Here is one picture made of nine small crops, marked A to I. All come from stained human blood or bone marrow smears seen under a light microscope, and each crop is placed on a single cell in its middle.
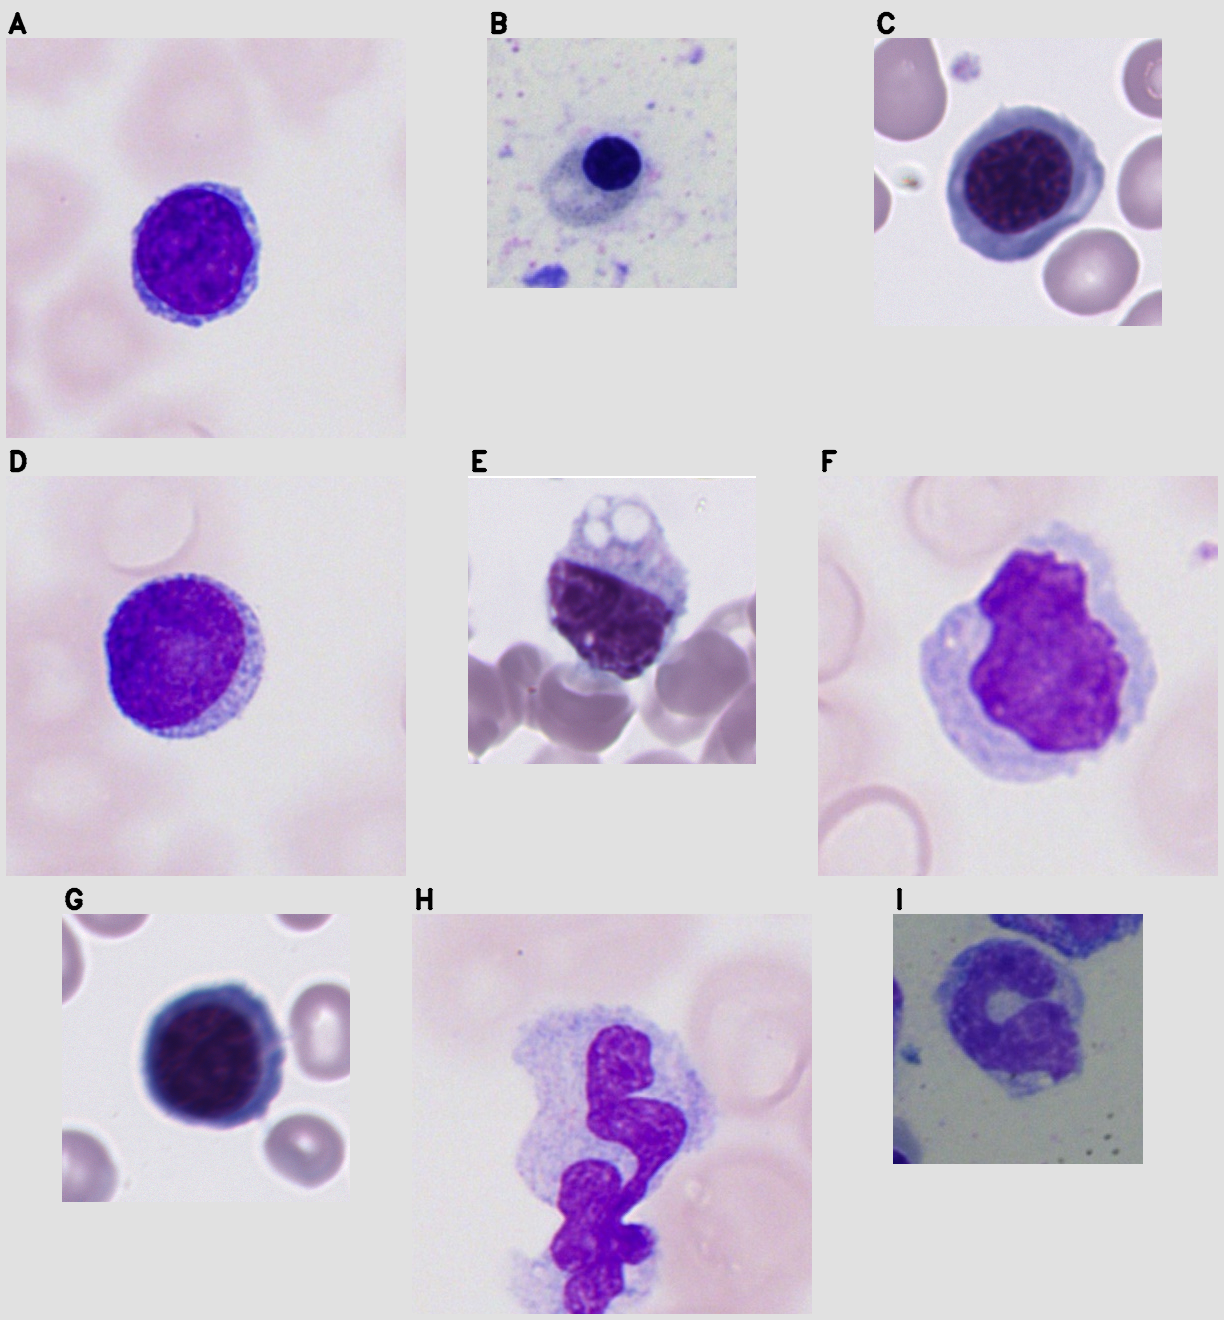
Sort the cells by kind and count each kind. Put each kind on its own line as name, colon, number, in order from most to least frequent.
monocyte: 4
erythroblast: 3
lymphocyte: 2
